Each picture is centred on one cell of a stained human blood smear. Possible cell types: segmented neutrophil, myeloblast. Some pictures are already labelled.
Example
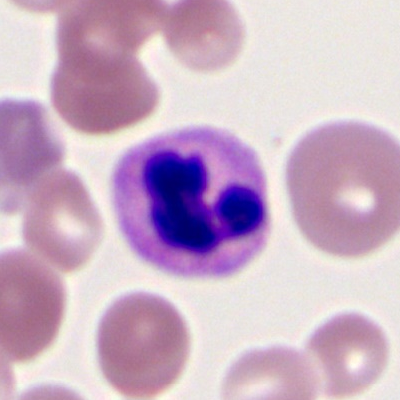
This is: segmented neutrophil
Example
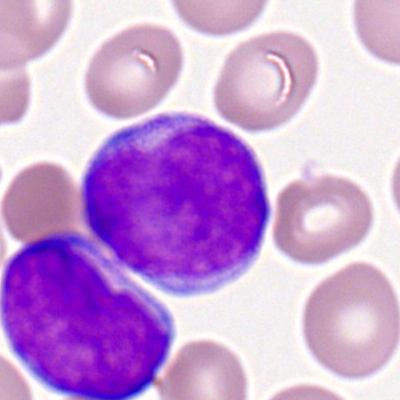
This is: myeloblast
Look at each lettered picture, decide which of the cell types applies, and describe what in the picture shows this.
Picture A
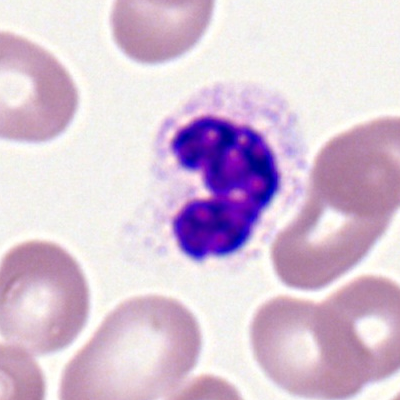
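Label: segmented neutrophil. The nucleus is split into lobes that curve around a notch opening toward the left.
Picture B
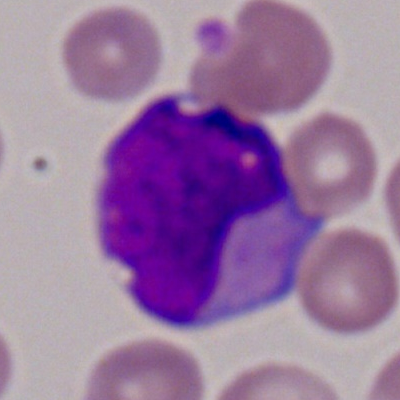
Label: myeloblast. The nucleus fills most of the cell.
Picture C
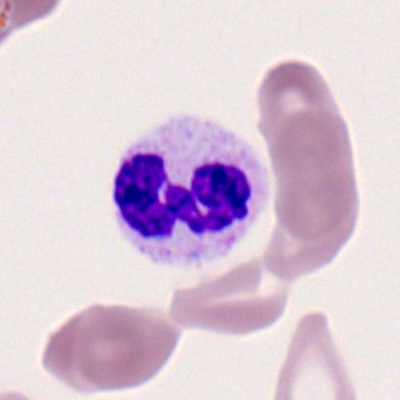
Label: segmented neutrophil. The two nuclear lobes lie side by side, left and right.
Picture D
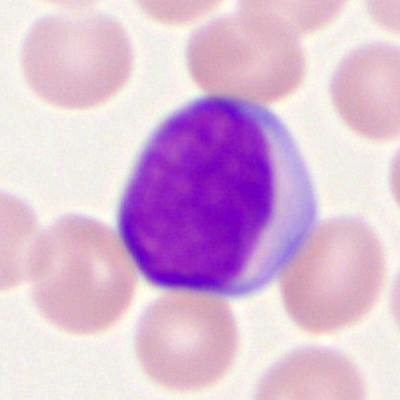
Label: myeloblast. The nucleus fills most of the cell and sits toward the left.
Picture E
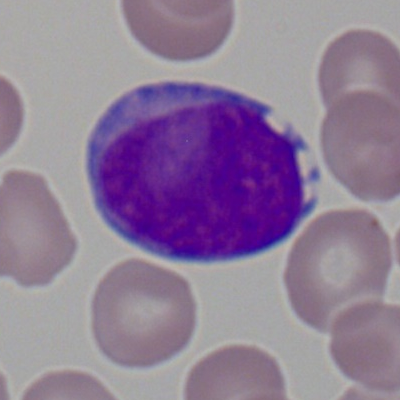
Label: myeloblast. The cytoplasm stains a deep blue.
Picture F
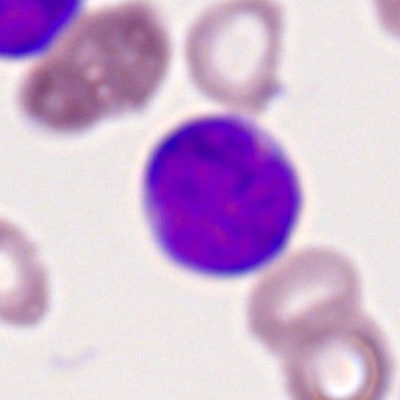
Label: myeloblast. The nucleus fills almost the whole cell, leaving at most a very thin rim of cytoplasm.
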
